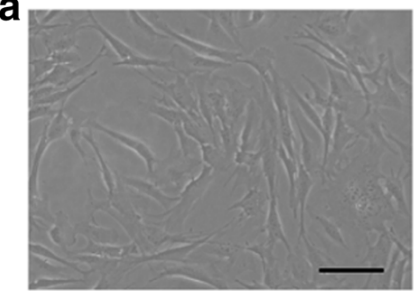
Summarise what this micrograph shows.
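Most cells are elongated and spindle-shaped, tapering into thin ends, while some are broader with a triangular outline. The cells lie close to one another, loosely aligned in streams and overlapping in places, with few gaps between them. No round, floating cells stand out among the flattened ones.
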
